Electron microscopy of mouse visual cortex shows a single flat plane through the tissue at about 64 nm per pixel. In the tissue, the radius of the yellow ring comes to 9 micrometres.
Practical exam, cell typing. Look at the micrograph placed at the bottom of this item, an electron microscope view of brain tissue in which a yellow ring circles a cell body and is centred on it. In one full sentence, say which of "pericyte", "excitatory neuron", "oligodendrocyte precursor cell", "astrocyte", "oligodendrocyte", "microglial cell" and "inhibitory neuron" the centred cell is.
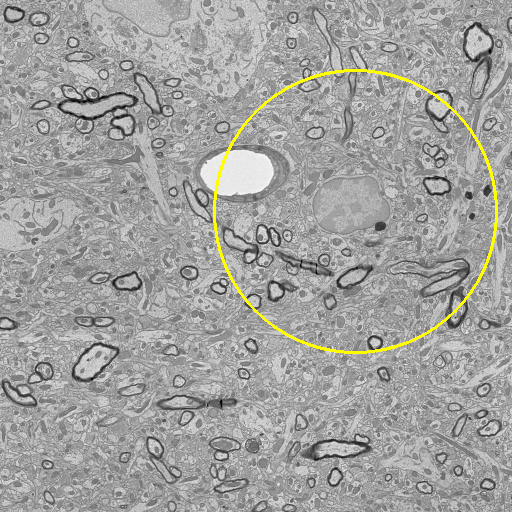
Given the options, a microglial cell fits the cell whose body the yellow ring is centred on.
